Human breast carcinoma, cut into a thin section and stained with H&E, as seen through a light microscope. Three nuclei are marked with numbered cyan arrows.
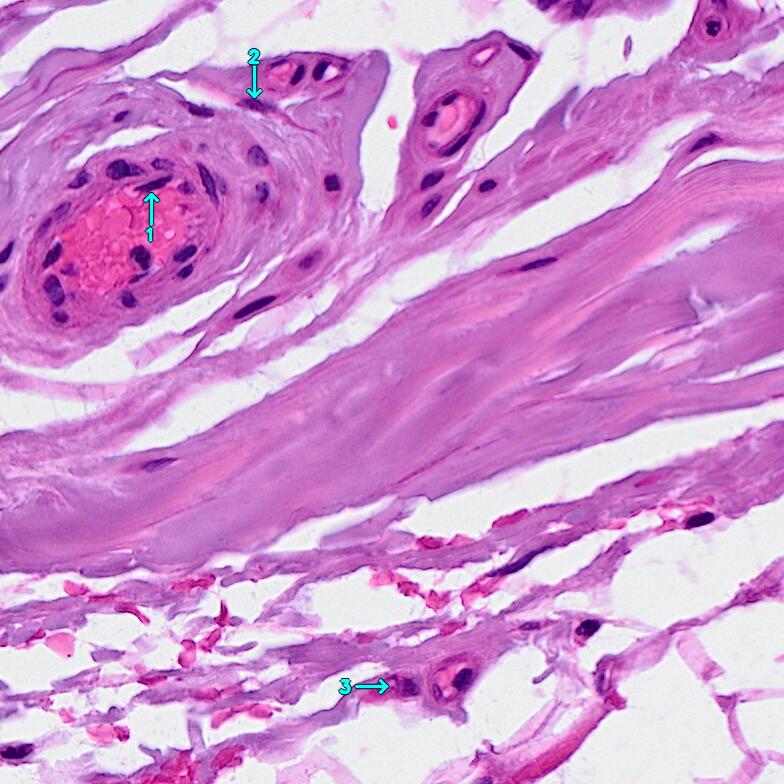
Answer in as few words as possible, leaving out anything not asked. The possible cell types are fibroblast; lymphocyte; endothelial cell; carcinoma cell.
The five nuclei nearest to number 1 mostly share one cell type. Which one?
endothelial cell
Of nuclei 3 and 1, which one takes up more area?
3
